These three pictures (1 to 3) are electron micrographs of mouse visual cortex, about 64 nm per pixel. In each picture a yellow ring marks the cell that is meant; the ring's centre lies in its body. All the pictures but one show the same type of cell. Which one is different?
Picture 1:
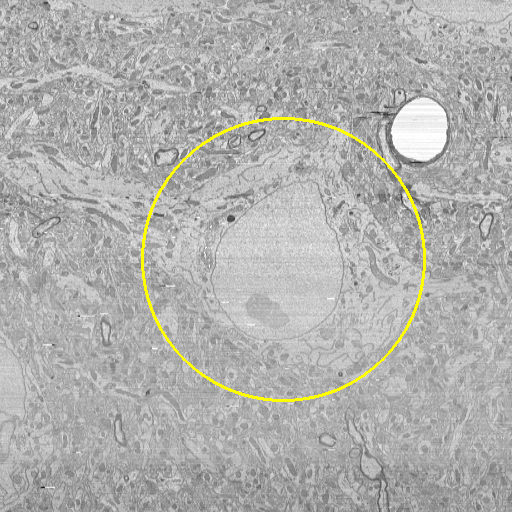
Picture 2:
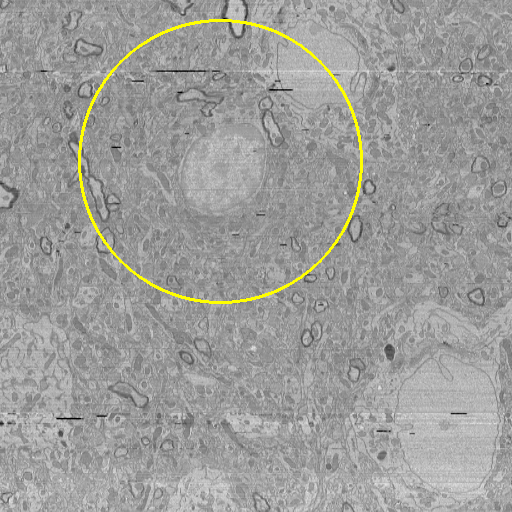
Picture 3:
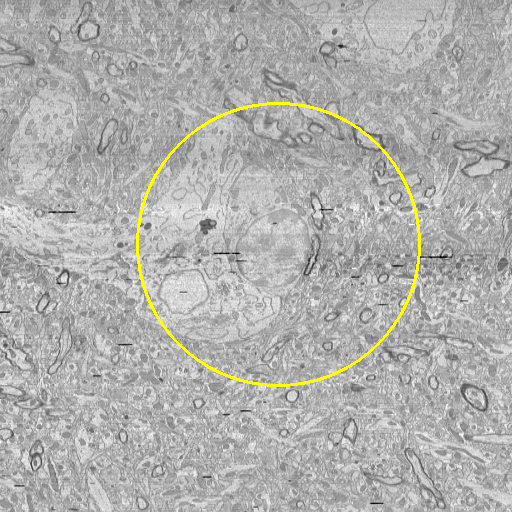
Picture 1 differs, because its cell is an excitatory neuron and the rest are oligodendrocytes.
